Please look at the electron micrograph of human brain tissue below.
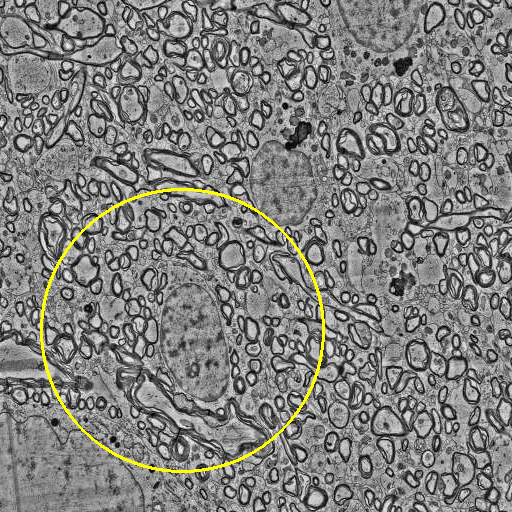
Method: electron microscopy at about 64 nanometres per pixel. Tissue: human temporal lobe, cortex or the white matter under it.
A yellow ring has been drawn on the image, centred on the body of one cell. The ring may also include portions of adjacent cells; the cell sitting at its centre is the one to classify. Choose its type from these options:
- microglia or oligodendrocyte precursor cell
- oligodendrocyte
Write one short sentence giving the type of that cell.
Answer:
The cell in the middle of the ring is a microglial cell or oligodendrocyte precursor cell.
